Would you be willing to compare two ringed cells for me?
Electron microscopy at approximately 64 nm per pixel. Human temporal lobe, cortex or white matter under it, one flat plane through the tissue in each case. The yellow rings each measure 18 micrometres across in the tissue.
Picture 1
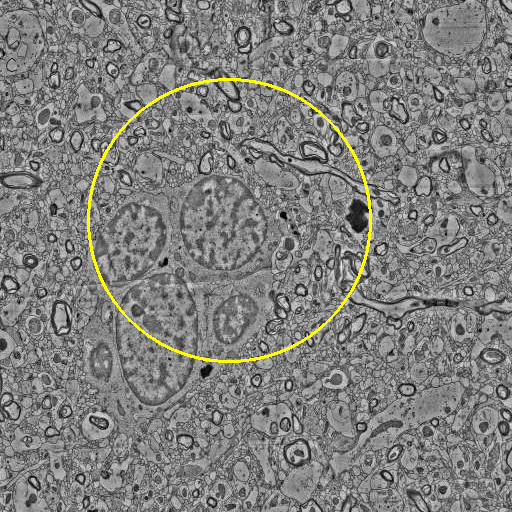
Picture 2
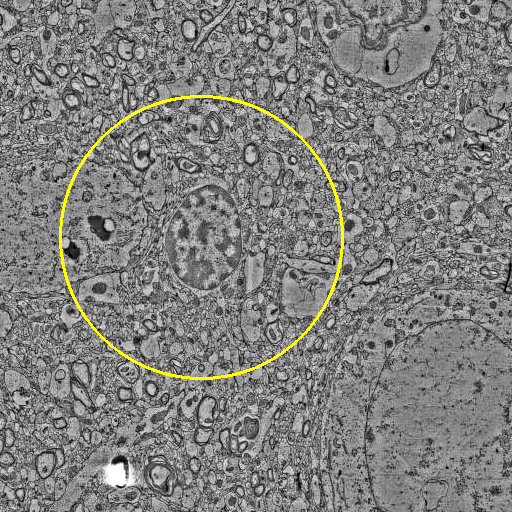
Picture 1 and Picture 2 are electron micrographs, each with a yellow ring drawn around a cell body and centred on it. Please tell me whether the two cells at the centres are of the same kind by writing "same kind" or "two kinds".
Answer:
two kinds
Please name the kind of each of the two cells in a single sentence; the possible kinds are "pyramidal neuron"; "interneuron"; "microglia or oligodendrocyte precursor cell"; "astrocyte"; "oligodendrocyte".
In the first picture the ring is centred on an oligodendrocyte, and in the second on a microglial cell or oligodendrocyte precursor cell.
